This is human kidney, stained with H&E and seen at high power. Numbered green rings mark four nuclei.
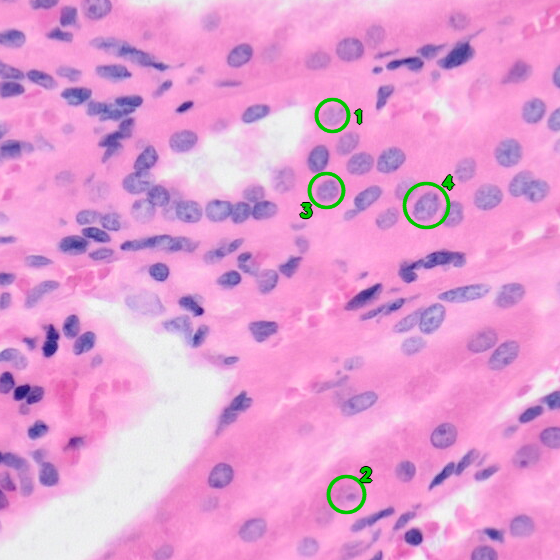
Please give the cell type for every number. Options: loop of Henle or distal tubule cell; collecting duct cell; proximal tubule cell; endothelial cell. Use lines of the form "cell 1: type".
cell 1: loop of Henle or distal tubule cell
cell 2: proximal tubule cell
cell 3: loop of Henle or distal tubule cell
cell 4: loop of Henle or distal tubule cell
